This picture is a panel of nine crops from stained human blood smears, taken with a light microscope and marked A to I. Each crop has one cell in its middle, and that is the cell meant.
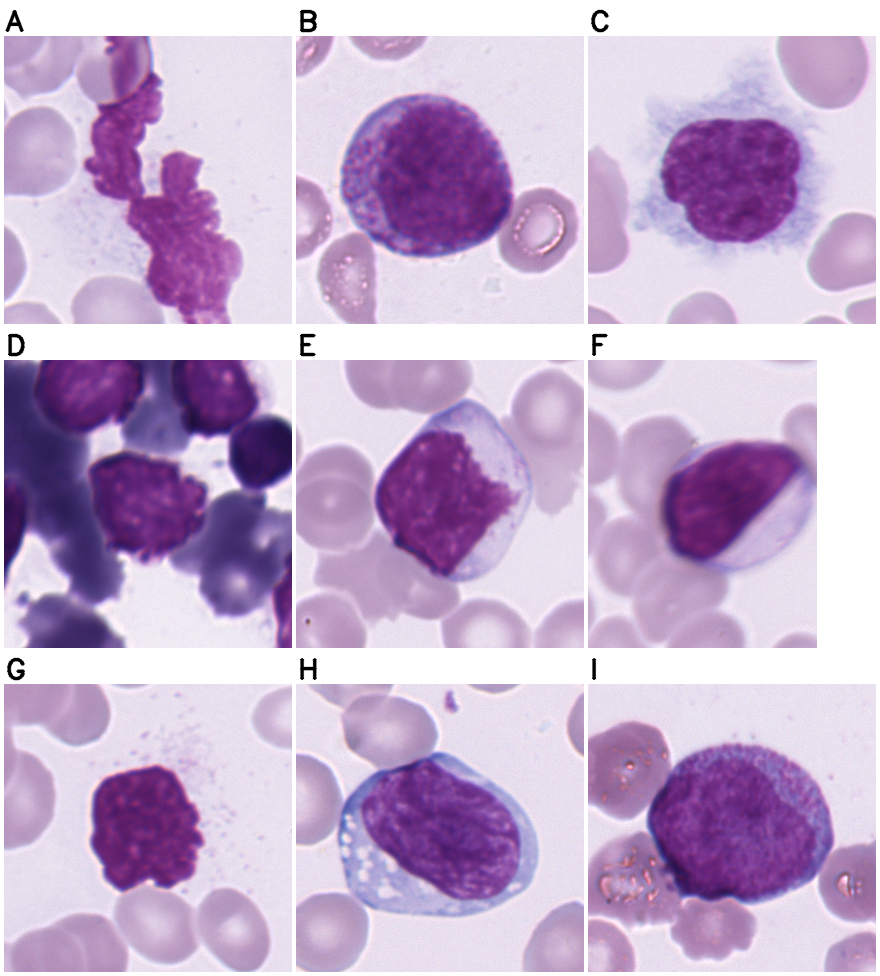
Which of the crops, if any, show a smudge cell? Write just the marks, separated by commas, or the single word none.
A, D, G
